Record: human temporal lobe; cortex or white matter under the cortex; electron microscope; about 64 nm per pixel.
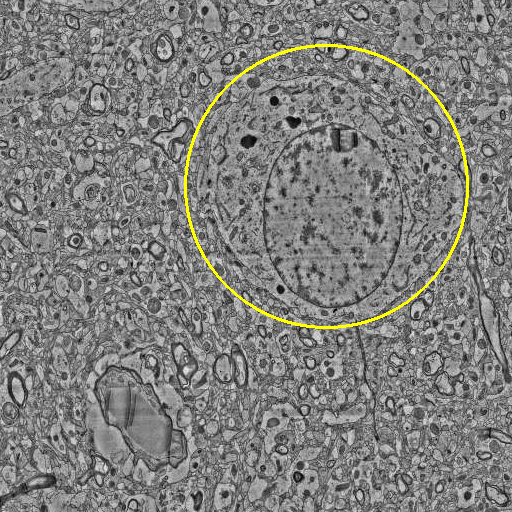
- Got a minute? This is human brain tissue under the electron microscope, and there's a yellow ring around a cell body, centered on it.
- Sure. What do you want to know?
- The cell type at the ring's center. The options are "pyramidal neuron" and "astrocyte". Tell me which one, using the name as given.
pyramidal neuron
